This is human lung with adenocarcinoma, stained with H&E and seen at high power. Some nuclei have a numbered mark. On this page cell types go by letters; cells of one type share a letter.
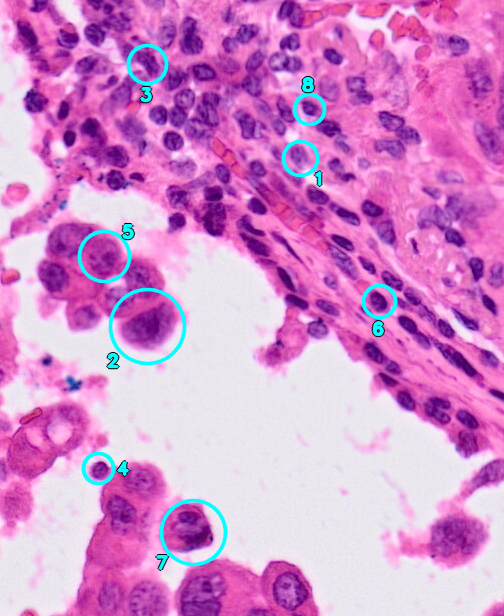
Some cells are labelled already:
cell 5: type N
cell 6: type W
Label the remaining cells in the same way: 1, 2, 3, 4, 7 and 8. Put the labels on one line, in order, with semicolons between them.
type W; type N; type W; type W; type N; type W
